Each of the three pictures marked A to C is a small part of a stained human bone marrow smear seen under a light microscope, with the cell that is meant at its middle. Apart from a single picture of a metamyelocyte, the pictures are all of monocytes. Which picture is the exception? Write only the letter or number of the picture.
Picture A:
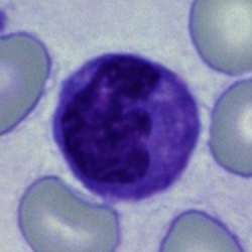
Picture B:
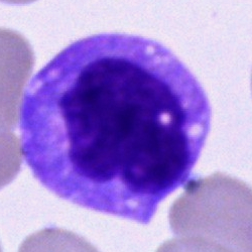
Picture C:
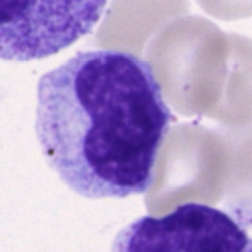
C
